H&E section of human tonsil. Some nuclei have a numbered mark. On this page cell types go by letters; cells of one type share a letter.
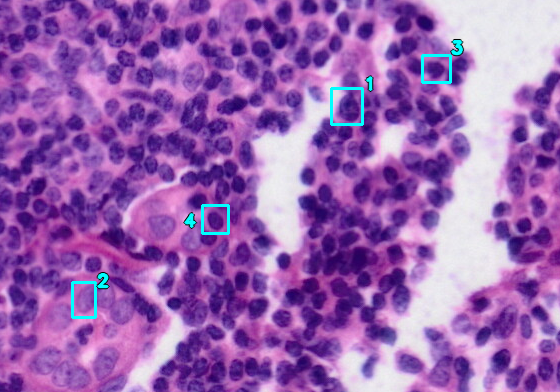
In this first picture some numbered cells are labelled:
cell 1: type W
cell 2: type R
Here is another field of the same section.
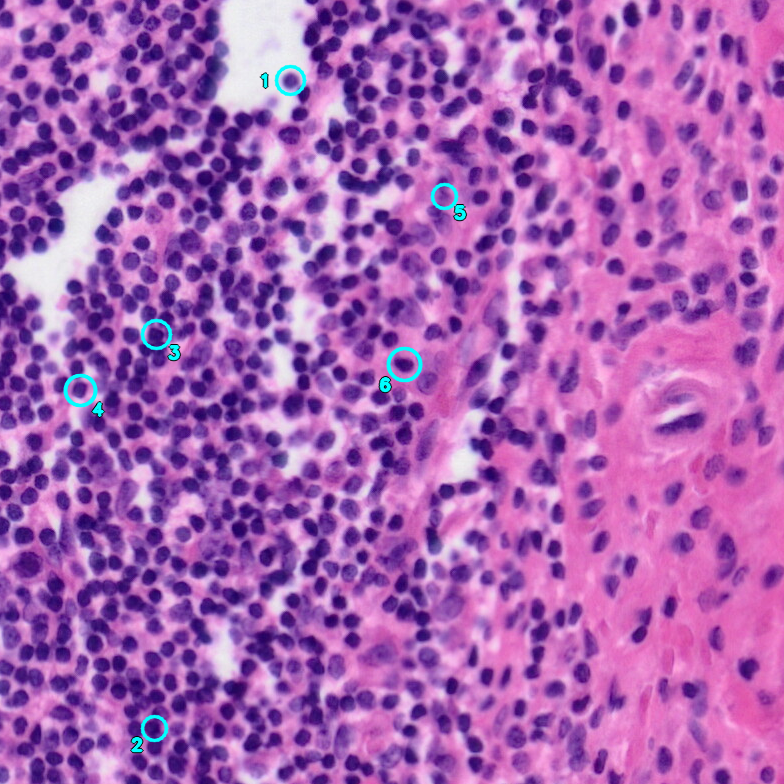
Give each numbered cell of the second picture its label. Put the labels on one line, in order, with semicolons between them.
type W; type W; type W; type W; type R; type R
